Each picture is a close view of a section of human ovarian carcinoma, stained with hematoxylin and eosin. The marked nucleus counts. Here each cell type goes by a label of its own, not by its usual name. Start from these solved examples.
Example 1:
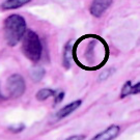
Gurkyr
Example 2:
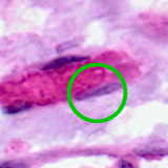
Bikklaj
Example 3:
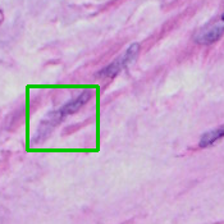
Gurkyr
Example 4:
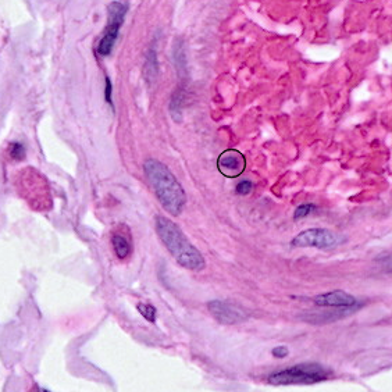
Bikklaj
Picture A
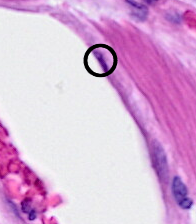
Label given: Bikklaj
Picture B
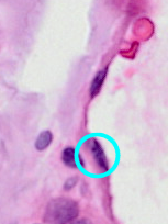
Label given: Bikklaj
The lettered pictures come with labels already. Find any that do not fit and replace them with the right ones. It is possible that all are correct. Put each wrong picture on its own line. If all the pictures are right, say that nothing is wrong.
All labels are correct.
